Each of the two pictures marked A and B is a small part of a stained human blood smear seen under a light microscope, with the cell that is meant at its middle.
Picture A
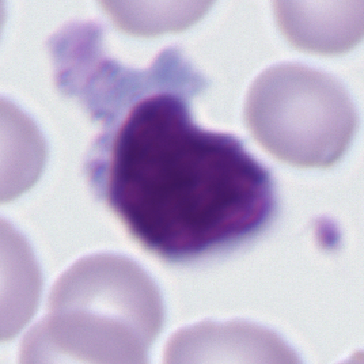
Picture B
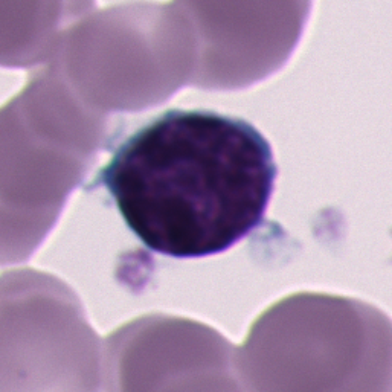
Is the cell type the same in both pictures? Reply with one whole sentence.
Yes; the cells in both pictures are typical lymphocytes.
